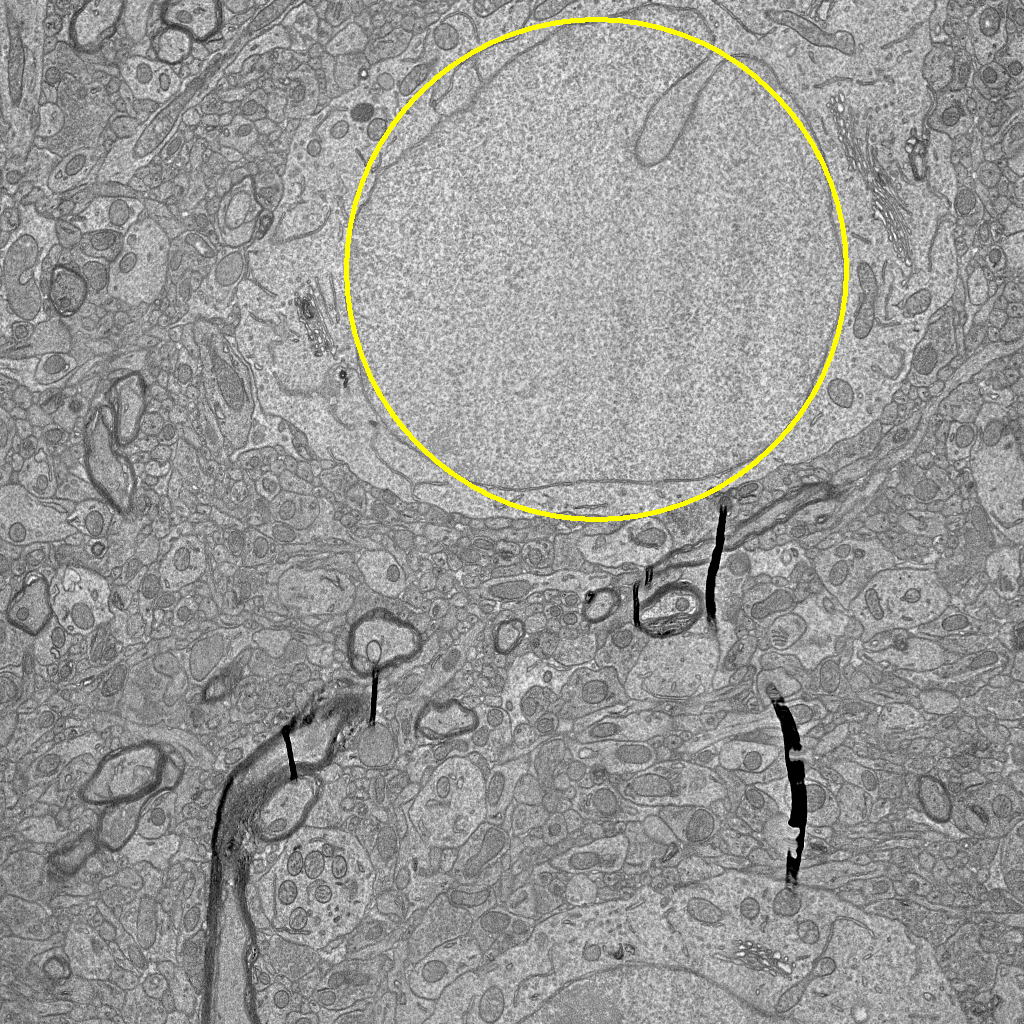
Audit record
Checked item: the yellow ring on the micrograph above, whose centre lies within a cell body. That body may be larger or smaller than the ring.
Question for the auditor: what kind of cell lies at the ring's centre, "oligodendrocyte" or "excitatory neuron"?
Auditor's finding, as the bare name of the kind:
excitatory neuron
